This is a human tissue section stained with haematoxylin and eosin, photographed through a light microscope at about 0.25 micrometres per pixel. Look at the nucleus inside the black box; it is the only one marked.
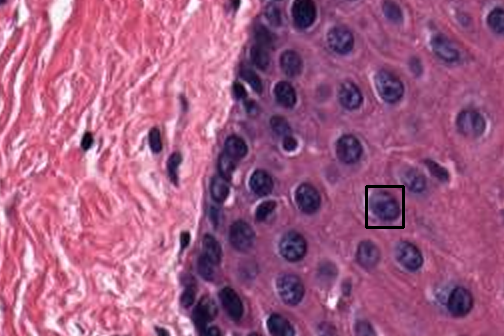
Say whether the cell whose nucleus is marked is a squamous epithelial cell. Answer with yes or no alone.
yes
